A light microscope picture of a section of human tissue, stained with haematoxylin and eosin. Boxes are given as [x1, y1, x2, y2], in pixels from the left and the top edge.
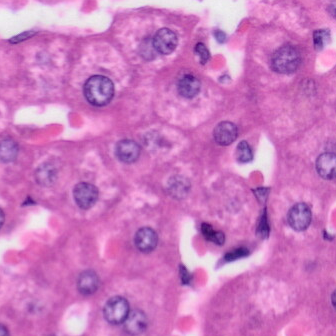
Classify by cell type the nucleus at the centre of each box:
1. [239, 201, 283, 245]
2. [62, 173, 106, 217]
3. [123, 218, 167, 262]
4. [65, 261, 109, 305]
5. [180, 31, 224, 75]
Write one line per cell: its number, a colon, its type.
1: fibroblast or stellate cell
2: hepatocyte
3: hepatocyte
4: hepatocyte
5: Kupffer cell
